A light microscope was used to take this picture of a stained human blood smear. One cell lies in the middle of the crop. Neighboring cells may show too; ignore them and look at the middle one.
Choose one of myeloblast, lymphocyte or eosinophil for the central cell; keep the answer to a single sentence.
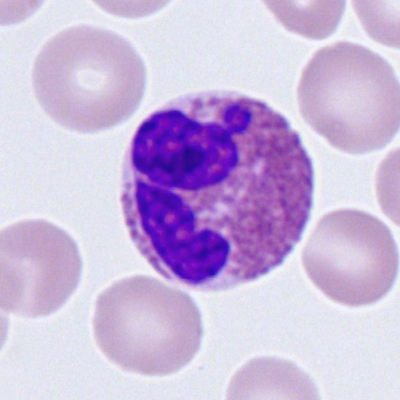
The cell in the middle of the field of view is an eosinophil.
